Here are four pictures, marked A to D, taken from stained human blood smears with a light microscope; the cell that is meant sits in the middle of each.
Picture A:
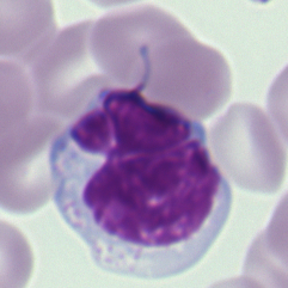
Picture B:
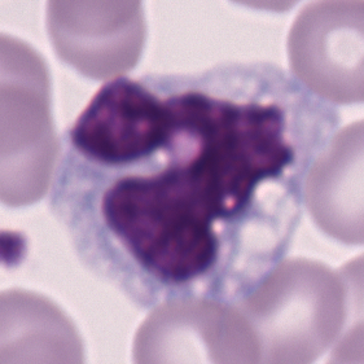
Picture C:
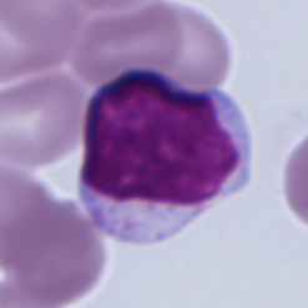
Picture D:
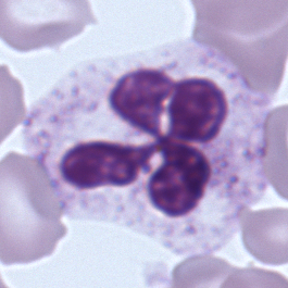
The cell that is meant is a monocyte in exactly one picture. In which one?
B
